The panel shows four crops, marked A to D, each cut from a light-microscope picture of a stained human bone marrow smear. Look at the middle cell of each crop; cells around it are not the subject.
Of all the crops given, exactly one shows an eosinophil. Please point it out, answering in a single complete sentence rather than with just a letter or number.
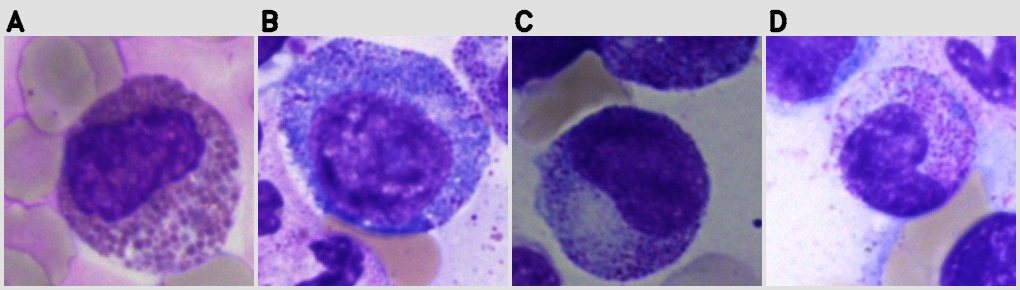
Selected crop: A, which is the one that shows an eosinophil.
